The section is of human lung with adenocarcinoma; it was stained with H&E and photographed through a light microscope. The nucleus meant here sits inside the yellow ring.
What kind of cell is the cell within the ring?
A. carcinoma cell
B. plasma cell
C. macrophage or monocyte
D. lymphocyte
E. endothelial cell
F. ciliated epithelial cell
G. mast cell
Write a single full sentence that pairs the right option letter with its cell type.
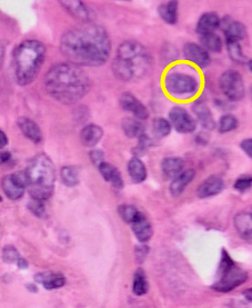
Of the options given, D is right: the cell within the ring is a lymphocyte.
